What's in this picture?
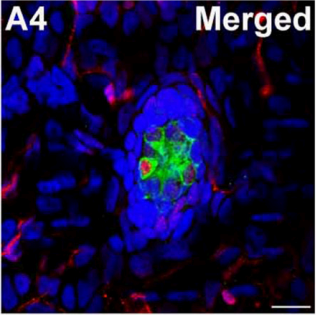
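In the middle a compact oval cluster of elongated blue nuclei is arranged like a rosette, set among scattered flatter nuclei of the surrounding tissue. At its centre a small group of cells is outlined by green cytoplasm, with dark round nuclear spaces inside. Red is weak here, mostly in thin lines along borders and a bright spot near the centre. This is a neuromast, a small sensory organ with a central group of specialised cells surrounded by supporting cells.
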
